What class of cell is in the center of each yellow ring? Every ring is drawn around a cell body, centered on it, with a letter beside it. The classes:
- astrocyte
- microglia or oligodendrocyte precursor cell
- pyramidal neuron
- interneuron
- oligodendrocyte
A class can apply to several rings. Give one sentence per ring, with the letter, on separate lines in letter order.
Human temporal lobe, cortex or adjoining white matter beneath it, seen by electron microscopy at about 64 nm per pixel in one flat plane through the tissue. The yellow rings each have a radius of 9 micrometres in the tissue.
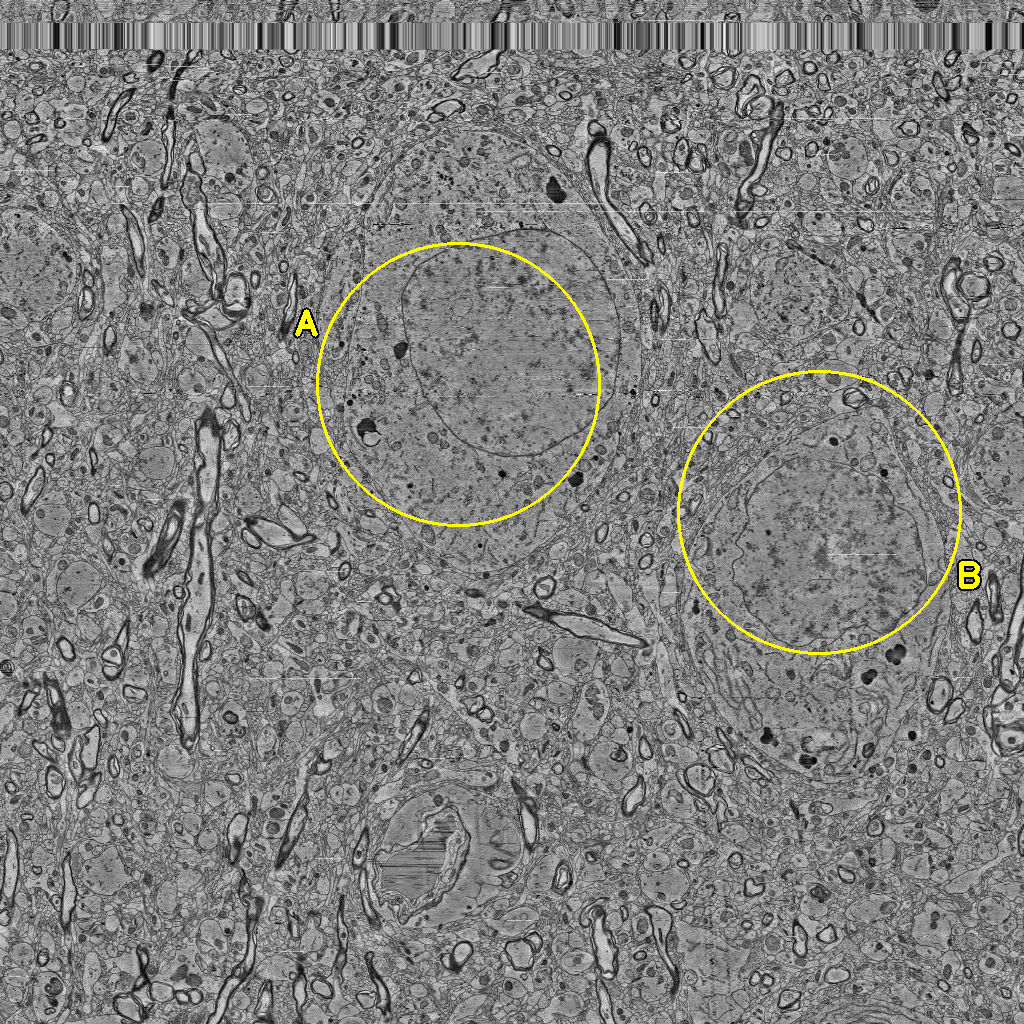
Ring A holds a pyramidal neuron at its center.
Ring B holds a pyramidal neuron at its center.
